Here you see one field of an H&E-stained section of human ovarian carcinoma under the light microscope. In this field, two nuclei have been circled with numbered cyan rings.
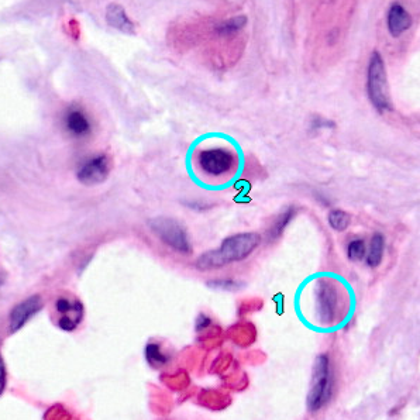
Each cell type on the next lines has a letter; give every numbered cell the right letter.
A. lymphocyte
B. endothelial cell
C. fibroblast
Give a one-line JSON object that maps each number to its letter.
{"1": "B", "2": "A"}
